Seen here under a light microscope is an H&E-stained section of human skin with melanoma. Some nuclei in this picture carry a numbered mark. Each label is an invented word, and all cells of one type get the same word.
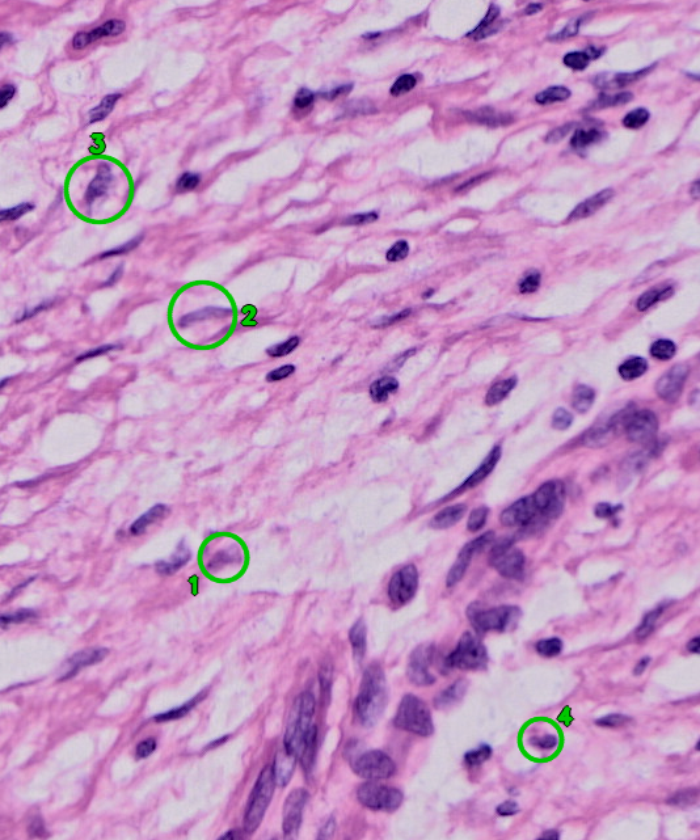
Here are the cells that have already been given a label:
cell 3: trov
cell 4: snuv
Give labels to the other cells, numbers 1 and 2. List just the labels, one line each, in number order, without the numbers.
trov
trov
